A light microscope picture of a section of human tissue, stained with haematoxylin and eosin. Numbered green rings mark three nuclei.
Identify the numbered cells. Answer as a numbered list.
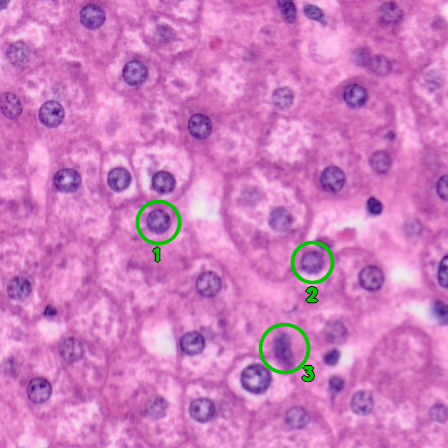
1. hepatocyte
2. hepatocyte
3. fibroblast or stellate cell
